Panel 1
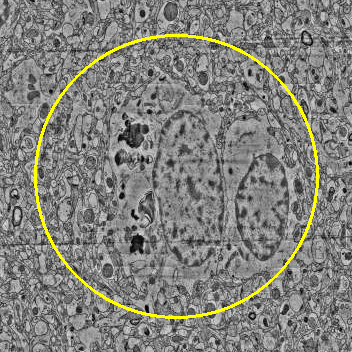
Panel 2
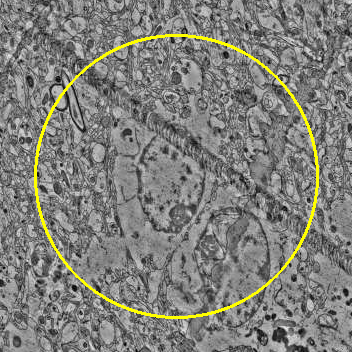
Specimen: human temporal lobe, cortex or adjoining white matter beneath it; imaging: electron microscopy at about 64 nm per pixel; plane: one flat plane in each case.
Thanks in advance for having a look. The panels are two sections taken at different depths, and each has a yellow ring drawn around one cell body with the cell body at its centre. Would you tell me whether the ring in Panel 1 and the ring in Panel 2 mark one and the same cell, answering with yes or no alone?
no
